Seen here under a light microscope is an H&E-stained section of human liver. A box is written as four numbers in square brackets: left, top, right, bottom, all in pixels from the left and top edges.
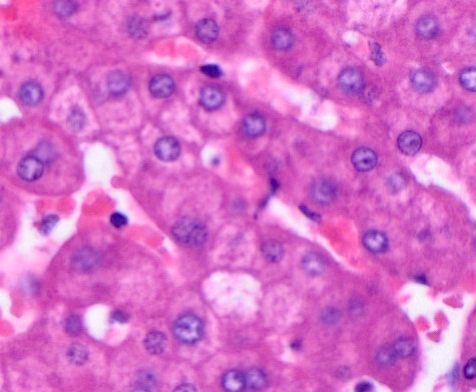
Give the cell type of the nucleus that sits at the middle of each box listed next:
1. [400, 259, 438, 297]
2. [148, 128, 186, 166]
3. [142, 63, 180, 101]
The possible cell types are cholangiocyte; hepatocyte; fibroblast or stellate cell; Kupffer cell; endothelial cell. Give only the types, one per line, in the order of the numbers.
fibroblast or stellate cell
hepatocyte
hepatocyte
